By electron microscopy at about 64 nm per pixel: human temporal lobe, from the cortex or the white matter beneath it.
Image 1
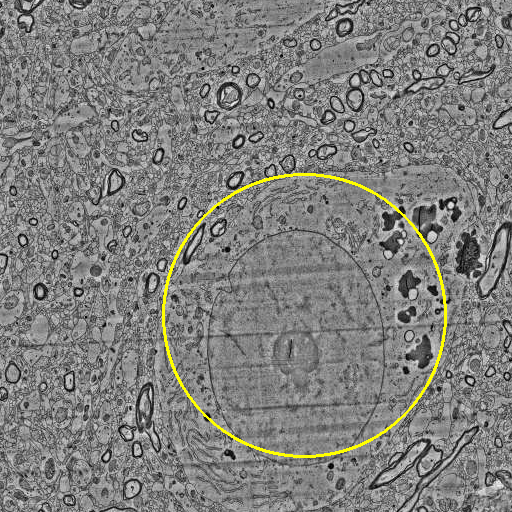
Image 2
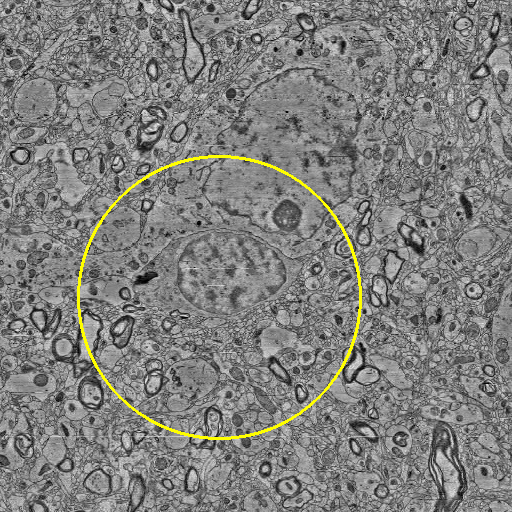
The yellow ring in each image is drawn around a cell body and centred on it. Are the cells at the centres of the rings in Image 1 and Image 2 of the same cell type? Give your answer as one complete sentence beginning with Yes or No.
No, the two cells are of two separate types.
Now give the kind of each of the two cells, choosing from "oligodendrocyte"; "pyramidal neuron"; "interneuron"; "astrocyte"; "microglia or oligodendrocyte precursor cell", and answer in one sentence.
The cell in the first picture is a pyramidal neuron, and the cell in the second is an oligodendrocyte.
